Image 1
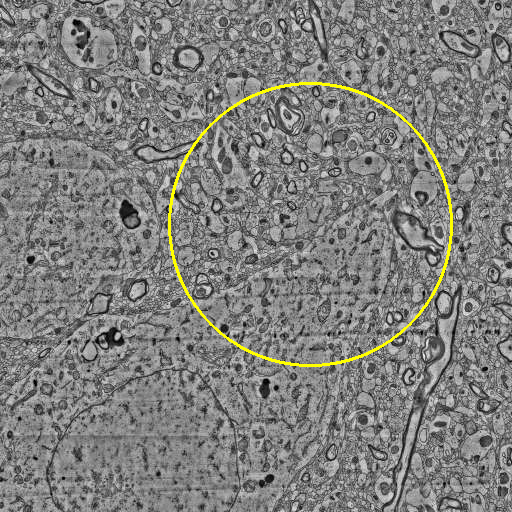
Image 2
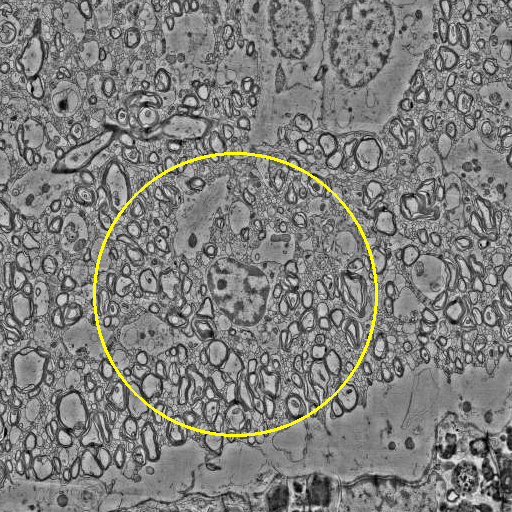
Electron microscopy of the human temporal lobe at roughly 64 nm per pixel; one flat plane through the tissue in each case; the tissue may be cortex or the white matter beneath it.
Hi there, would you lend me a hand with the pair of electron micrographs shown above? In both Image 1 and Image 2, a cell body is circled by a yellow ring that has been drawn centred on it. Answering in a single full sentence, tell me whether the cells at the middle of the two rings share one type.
Yes, the ringed cells in Image 1 and Image 2 share one type.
